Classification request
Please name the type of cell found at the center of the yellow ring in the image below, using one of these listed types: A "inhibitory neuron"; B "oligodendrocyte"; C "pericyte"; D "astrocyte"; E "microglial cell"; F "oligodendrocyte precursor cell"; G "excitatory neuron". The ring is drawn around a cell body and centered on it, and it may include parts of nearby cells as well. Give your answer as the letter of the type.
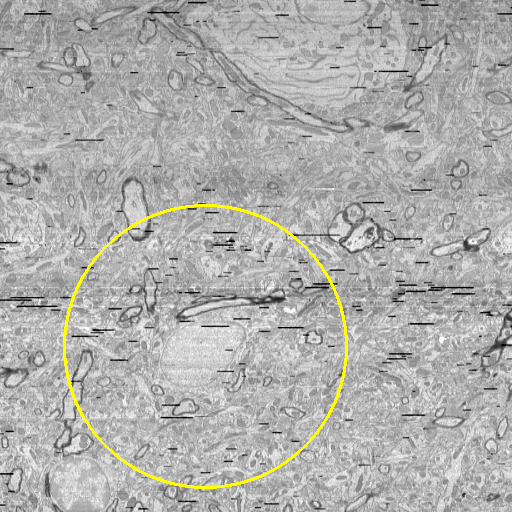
D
